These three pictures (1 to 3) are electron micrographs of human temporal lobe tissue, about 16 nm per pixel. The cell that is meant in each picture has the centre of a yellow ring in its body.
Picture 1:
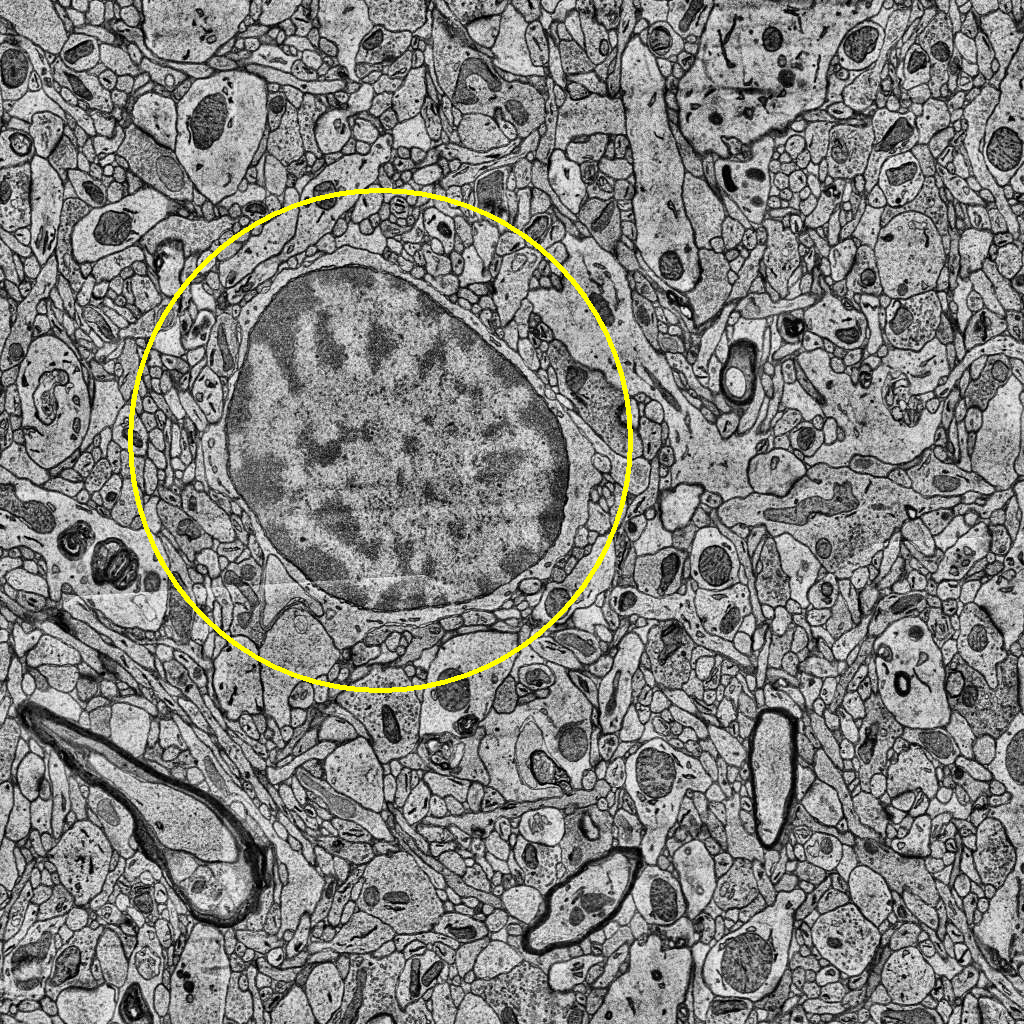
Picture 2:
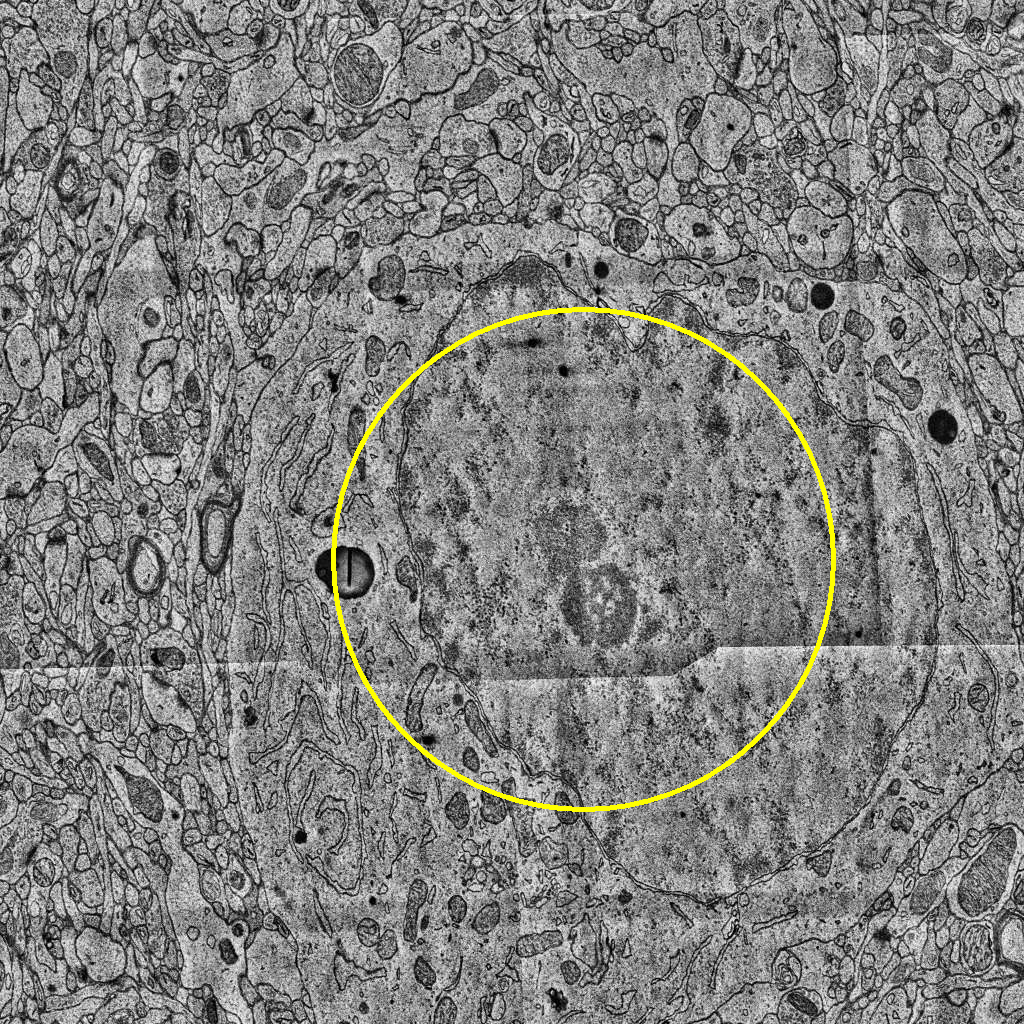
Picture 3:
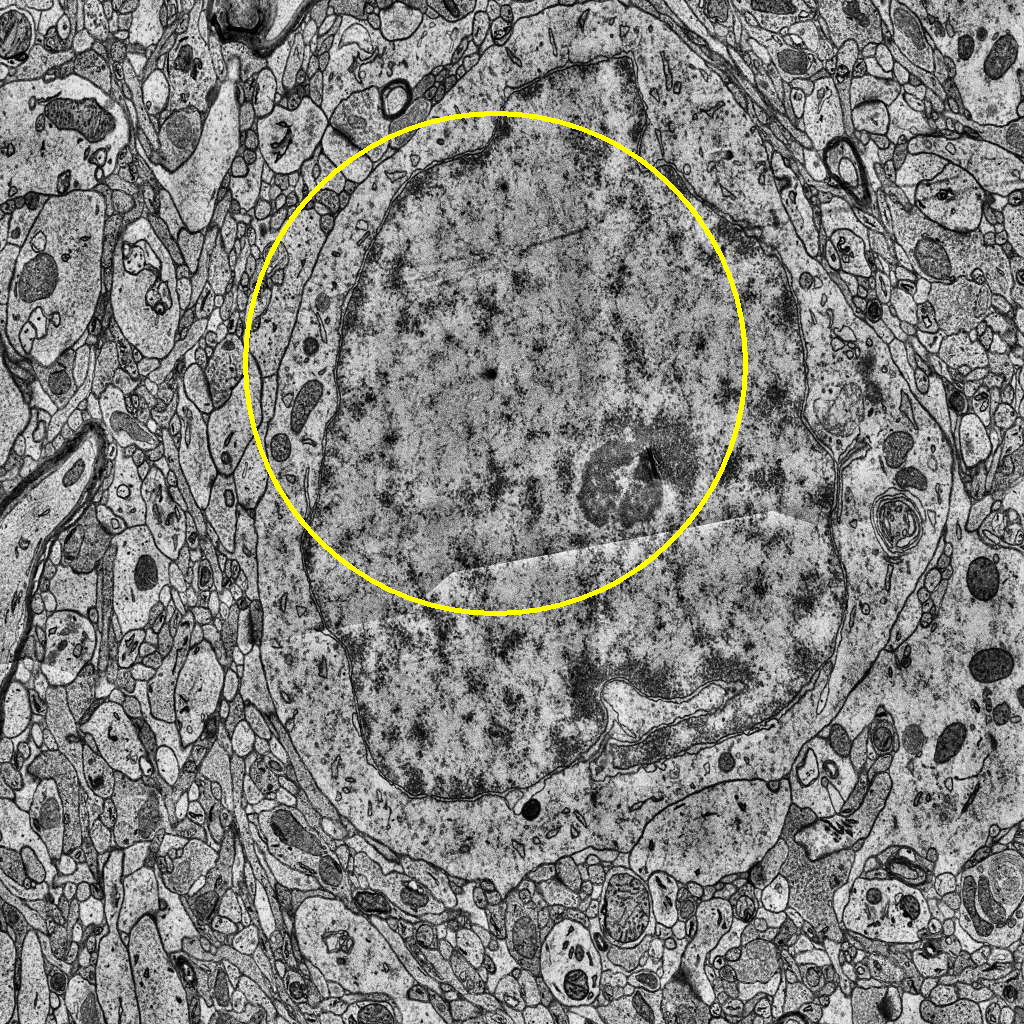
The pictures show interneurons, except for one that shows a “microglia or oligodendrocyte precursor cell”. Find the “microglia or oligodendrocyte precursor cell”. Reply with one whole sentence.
The cell in picture 1 is the “microglia or oligodendrocyte precursor cell”.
